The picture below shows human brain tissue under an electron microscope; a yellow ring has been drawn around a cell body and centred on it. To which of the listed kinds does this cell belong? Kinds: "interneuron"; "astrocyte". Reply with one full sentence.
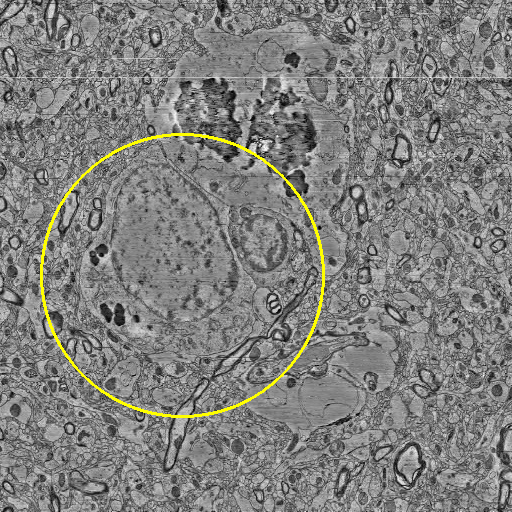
It is an interneuron that the yellow ring in the picture is centred on.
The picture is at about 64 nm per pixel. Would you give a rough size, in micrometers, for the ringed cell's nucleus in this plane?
In this plane the nucleus spans approximately 11 by 8 micrometers.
